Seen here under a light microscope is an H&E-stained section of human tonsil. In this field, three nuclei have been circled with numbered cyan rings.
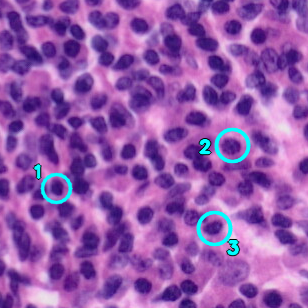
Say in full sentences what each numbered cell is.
Cell 1 is a small lymphocyte. Cells 2 and 3 are plasma cells.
